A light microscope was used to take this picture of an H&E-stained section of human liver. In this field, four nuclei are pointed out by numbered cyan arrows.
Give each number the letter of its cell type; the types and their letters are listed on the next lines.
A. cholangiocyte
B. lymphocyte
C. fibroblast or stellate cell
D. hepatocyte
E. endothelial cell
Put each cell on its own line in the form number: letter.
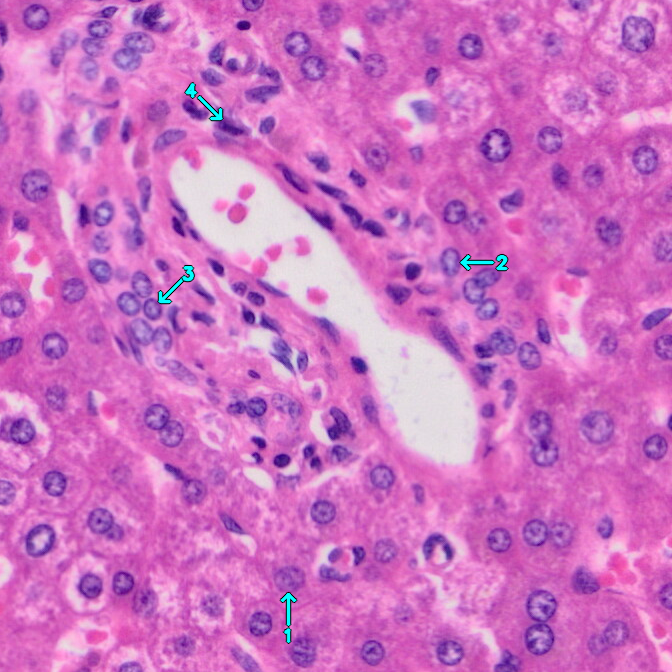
1: D
2: A
3: A
4: C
